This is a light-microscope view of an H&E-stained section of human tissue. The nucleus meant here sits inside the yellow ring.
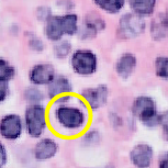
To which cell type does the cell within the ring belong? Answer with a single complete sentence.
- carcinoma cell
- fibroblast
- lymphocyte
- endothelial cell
With respect to cell type, the cell within the ring is a lymphocyte.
